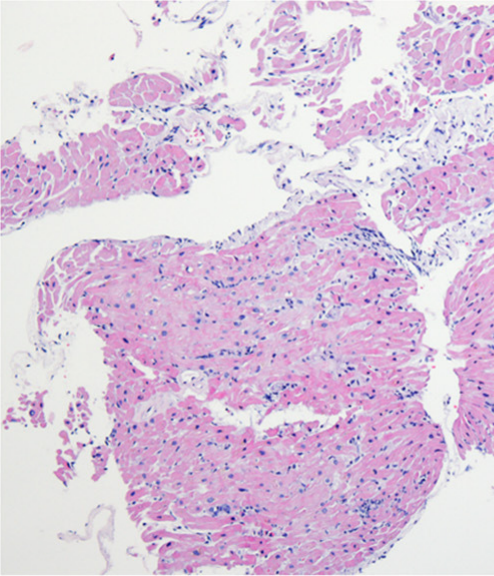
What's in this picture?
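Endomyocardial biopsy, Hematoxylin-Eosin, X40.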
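This low-power view shows fragments of heart muscle tissue made of bundles of pink cardiac muscle fibres, cut both along their length and across. Pale, loose interstitial tissue runs between the bundles. Many small, dark-blue nuclei of inflammatory cells are scattered through the interstitium and among the muscle fibres, some of them in small clusters.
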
